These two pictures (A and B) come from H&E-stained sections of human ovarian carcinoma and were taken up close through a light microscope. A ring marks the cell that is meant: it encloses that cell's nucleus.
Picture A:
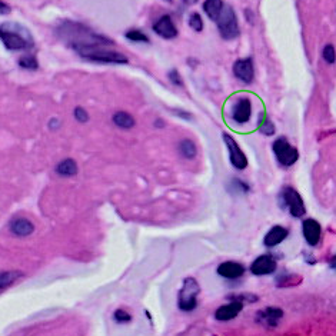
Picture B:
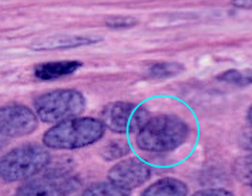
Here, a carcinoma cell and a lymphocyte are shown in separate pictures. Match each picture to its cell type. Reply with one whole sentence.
The cell in picture A is a lymphocyte, and the one in picture B is a carcinoma cell.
